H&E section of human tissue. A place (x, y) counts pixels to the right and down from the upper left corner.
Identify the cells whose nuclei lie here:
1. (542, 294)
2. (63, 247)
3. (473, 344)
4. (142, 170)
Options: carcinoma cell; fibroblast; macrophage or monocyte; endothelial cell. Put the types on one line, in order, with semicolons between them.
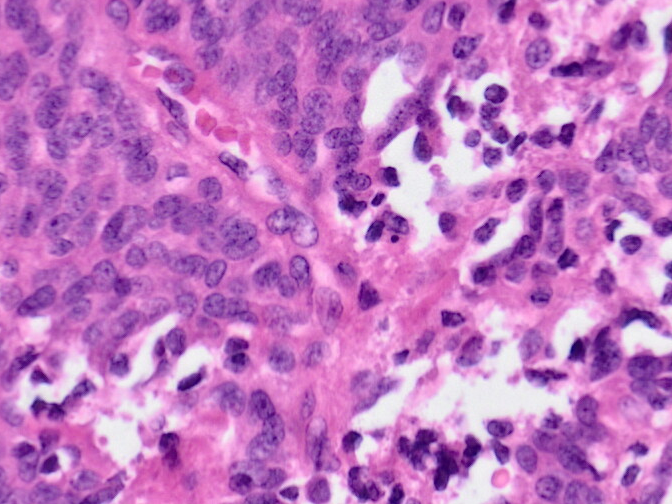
macrophage or monocyte; macrophage or monocyte; macrophage or monocyte; carcinoma cell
